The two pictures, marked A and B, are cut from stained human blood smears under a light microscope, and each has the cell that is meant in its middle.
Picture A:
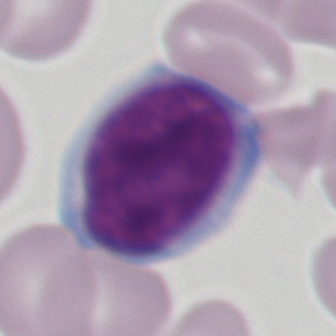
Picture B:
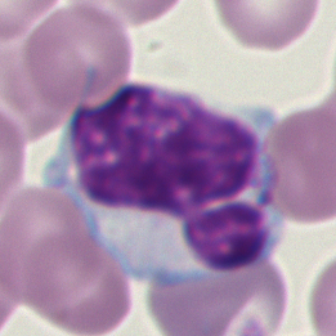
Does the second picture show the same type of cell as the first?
yes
